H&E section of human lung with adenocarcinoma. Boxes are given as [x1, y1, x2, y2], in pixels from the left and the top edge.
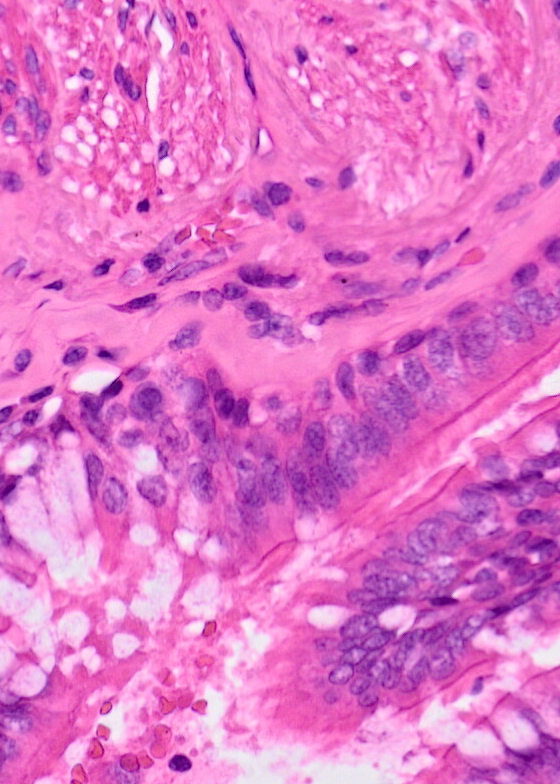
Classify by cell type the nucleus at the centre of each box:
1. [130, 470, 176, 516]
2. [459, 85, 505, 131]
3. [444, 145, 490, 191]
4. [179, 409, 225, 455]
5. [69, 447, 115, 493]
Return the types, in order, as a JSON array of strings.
["ciliated epithelial cell", "smooth muscle cell or pericyte", "smooth muscle cell or pericyte", "ciliated epithelial cell", "ciliated epithelial cell"]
